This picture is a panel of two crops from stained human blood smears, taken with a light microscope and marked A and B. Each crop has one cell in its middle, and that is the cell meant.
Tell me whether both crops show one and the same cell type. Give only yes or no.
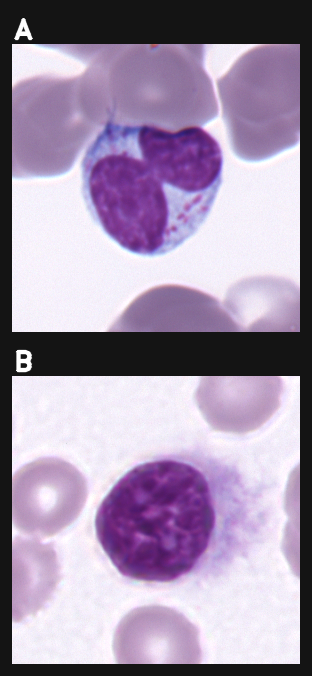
no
